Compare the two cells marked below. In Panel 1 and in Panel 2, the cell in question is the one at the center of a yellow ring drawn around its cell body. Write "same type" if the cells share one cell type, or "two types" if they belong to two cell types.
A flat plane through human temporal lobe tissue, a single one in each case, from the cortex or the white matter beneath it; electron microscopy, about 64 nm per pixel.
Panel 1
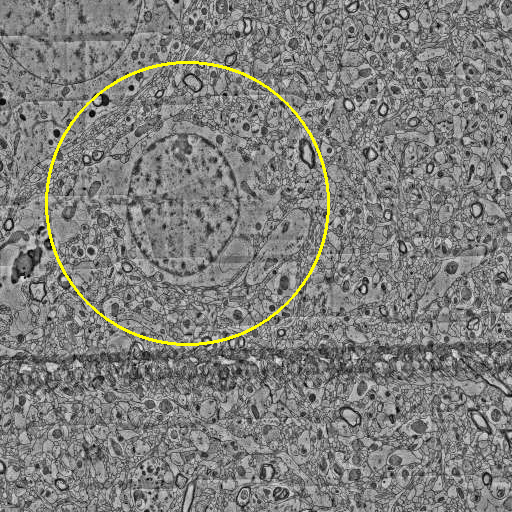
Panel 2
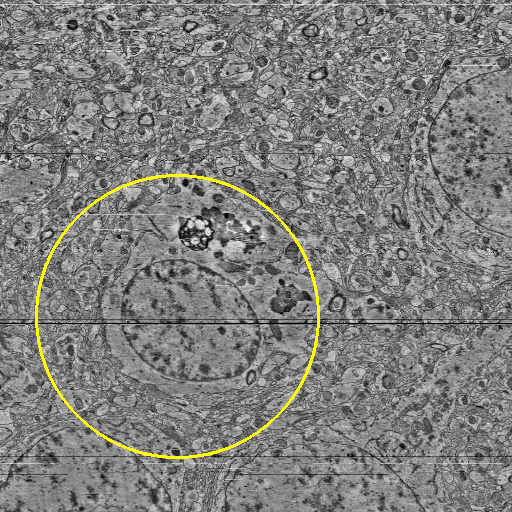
same type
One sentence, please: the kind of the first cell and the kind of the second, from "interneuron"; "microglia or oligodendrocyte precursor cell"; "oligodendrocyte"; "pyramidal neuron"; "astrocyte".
Each of the two cells is an astrocyte.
